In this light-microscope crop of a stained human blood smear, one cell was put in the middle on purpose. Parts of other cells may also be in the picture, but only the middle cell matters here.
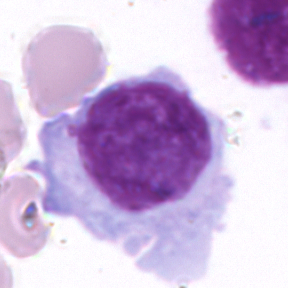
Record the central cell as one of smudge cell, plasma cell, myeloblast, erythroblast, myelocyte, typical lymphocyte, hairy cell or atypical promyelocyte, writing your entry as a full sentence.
The centered cell in this crop is a plasma cell.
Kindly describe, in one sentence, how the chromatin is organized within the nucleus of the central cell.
Its chromatin is finely dispersed rather than coarsely clumped.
